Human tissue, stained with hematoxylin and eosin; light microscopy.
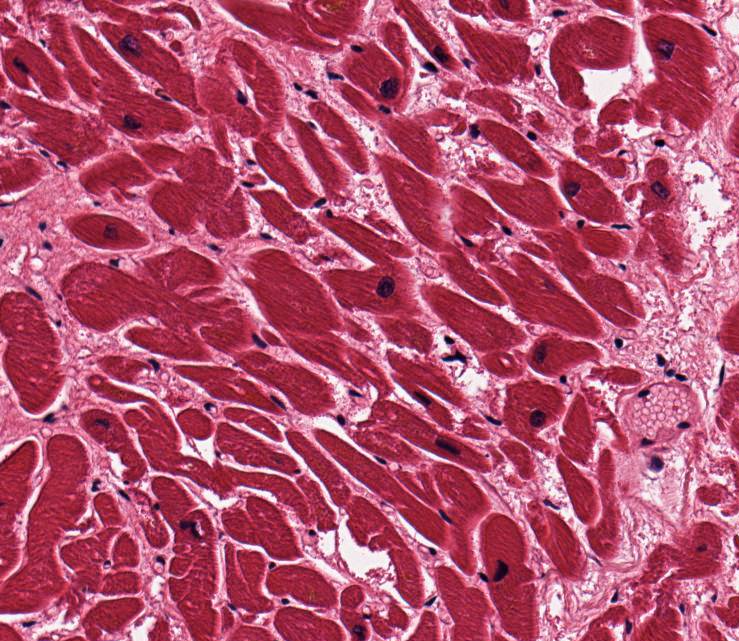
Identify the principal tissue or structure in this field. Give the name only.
myocardium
